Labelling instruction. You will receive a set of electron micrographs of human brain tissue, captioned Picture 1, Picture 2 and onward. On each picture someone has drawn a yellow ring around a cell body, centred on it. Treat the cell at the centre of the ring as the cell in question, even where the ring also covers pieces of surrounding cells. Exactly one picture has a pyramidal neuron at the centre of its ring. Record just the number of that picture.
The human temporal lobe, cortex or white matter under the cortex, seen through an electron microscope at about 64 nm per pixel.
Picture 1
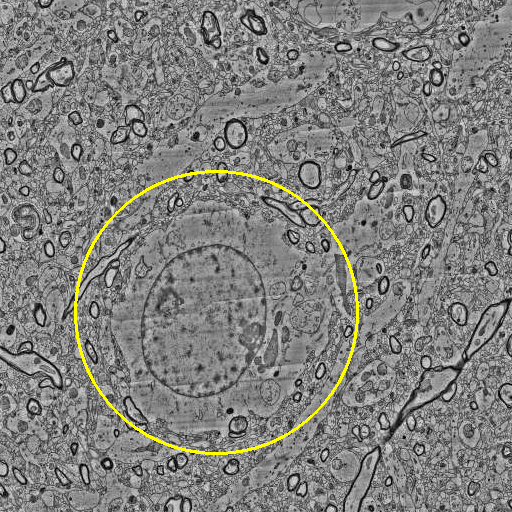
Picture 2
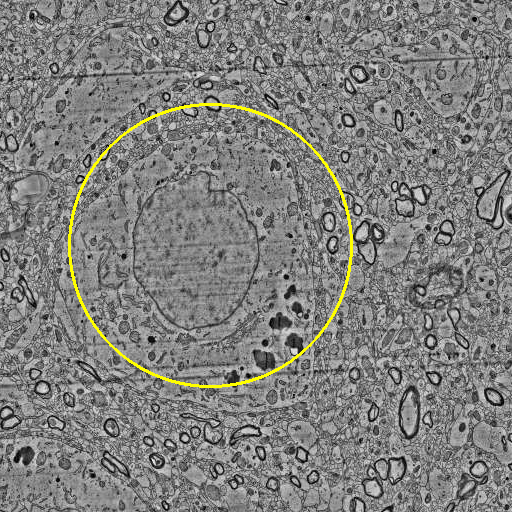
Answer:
2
